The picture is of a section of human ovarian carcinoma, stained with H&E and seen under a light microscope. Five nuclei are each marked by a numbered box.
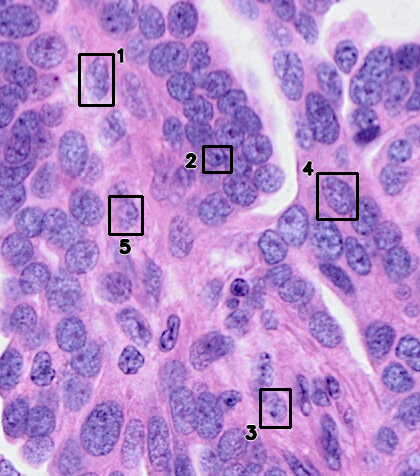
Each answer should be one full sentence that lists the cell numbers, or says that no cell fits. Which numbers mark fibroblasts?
In terms of cell type, cells 1, 3 and 5 are fibroblasts.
